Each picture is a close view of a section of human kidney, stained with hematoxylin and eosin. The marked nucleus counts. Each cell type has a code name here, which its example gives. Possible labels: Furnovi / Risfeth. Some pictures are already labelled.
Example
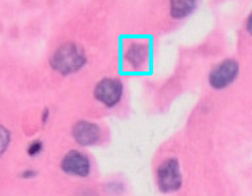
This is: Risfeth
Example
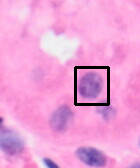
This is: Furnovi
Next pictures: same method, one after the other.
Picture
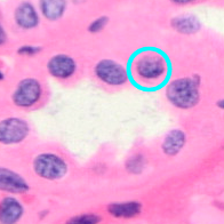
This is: Risfeth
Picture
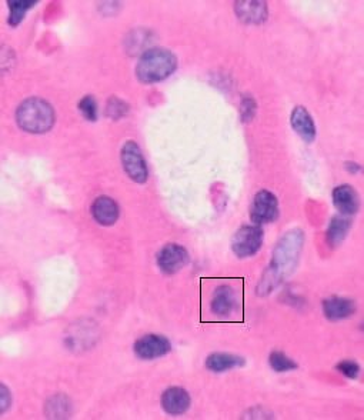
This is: Risfeth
